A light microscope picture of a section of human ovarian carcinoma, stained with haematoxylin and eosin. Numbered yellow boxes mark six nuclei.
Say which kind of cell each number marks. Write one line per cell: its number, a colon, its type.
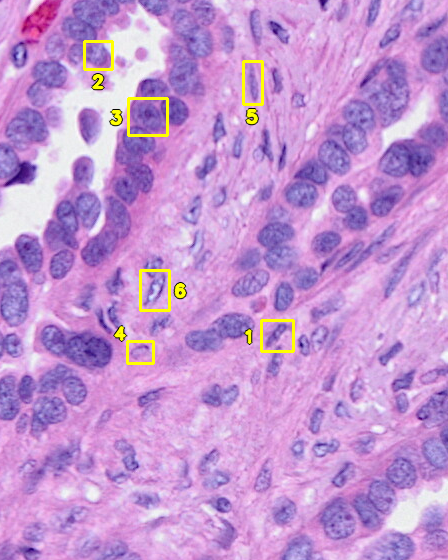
1: fibroblast
2: carcinoma cell
3: carcinoma cell
4: fibroblast
5: fibroblast
6: fibroblast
